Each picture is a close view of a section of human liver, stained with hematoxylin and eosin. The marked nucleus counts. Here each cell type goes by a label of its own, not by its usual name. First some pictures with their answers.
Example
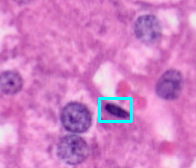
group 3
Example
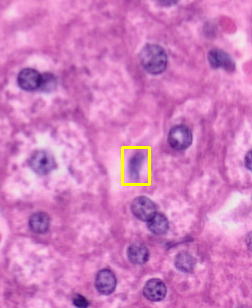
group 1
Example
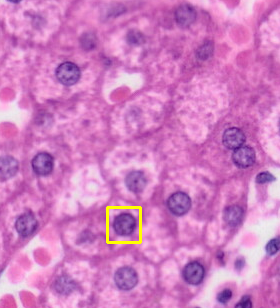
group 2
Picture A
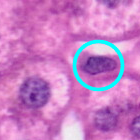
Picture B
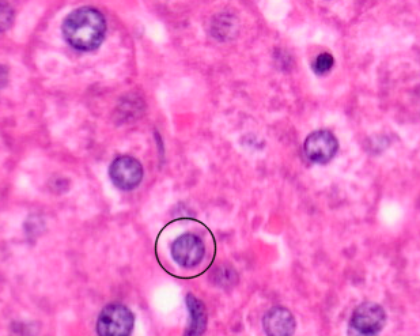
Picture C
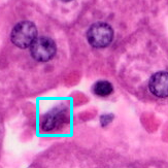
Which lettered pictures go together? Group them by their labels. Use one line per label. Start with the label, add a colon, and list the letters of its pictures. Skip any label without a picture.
group 1: A, C
group 2: B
